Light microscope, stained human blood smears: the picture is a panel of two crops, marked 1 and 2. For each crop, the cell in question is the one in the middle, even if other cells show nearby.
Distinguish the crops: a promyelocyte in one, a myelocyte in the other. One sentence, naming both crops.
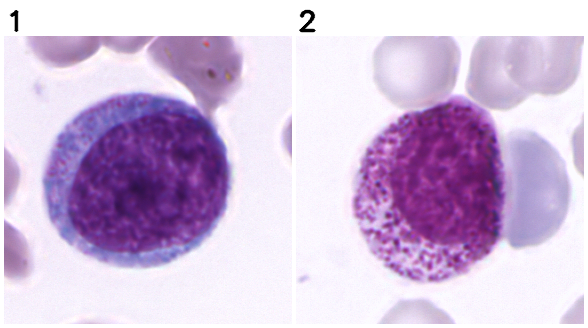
Represented in crop 1 is a promyelocyte; represented in crop 2 is a myelocyte.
